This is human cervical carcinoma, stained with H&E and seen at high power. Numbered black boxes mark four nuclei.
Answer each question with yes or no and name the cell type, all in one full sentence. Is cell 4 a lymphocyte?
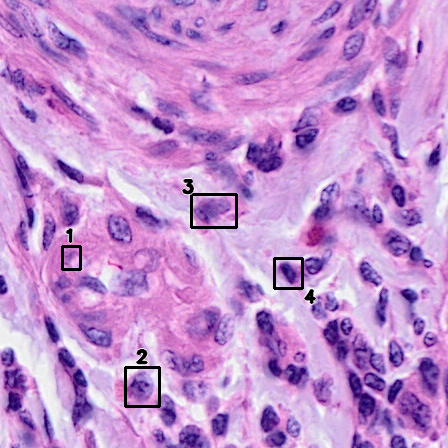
Yes, the cell that number 4 points to is a lymphocyte.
